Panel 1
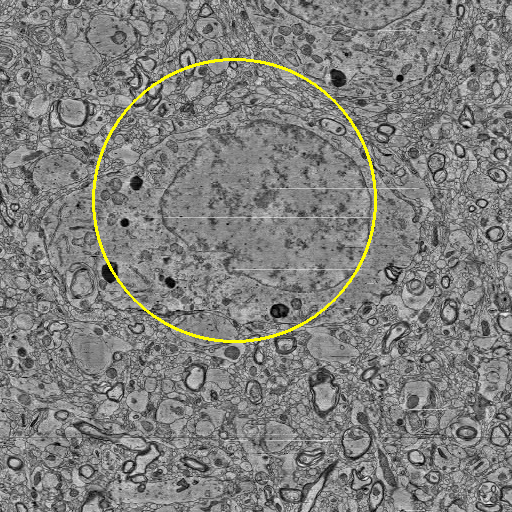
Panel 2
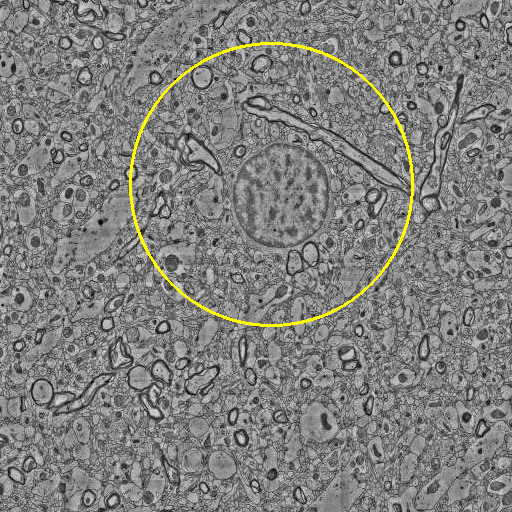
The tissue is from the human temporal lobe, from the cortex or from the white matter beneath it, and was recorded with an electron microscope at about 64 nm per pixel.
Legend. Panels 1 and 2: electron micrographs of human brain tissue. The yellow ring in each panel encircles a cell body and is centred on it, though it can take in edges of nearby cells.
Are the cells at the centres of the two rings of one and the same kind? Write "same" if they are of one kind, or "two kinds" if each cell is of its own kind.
two kinds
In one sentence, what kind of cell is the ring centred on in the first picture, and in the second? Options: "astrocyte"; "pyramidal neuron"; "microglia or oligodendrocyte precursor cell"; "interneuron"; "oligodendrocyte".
The cell at the centre of the second ring is an oligodendrocyte; the first ring's cell is an interneuron.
